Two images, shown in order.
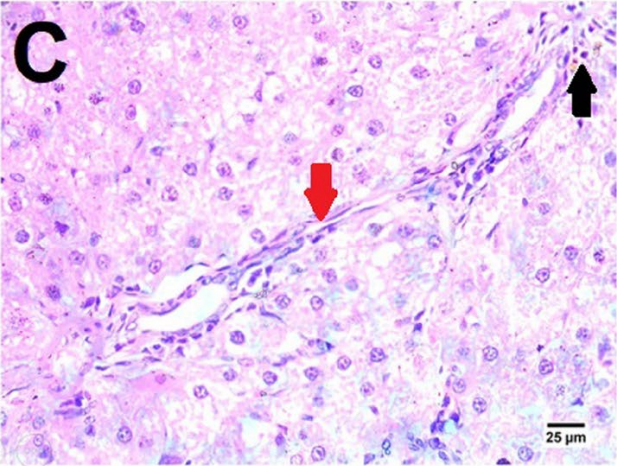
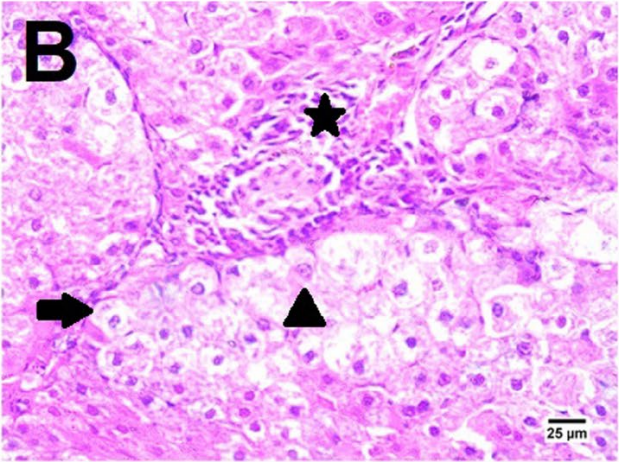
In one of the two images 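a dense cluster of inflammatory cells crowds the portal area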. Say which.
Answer: the second image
